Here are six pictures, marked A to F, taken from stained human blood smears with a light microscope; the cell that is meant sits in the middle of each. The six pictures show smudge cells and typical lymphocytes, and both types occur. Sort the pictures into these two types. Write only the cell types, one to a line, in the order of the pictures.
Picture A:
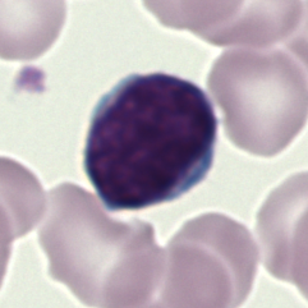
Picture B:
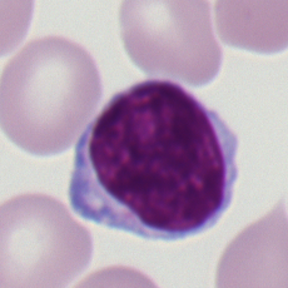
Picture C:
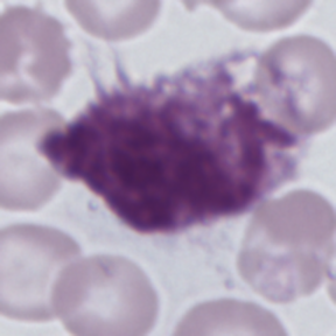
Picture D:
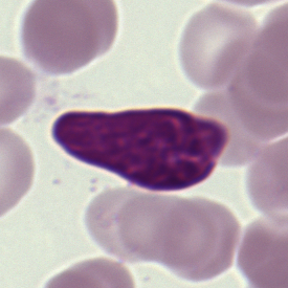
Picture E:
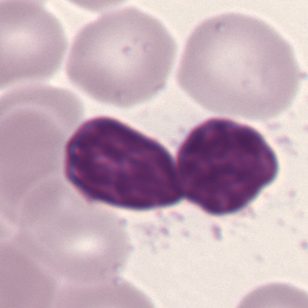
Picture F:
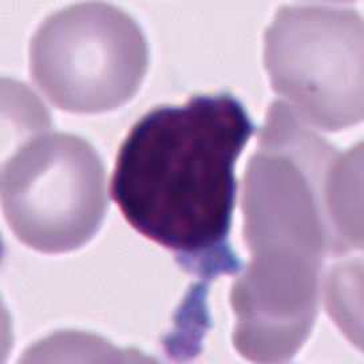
typical lymphocyte
typical lymphocyte
smudge cell
smudge cell
smudge cell
typical lymphocyte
